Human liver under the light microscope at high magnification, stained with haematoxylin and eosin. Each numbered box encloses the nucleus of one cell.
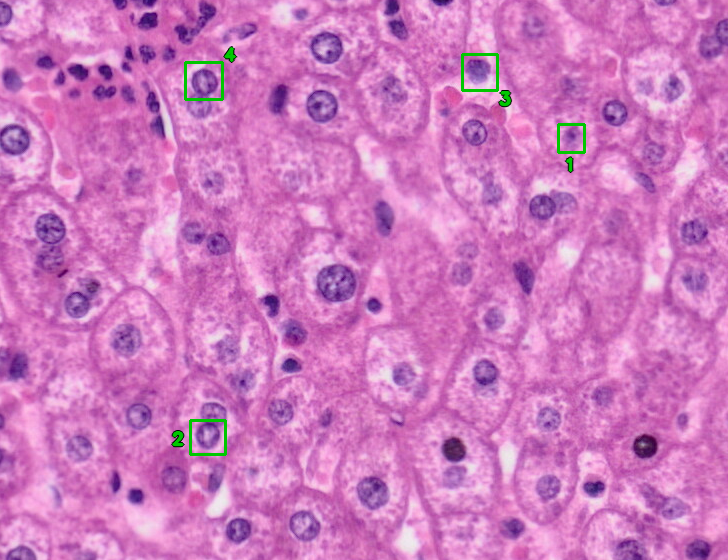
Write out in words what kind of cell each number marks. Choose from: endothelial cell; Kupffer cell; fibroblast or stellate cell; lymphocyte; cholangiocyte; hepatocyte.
Cells 1, 2 and 4 are hepatocytes. Cell 3 is an endothelial cell.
